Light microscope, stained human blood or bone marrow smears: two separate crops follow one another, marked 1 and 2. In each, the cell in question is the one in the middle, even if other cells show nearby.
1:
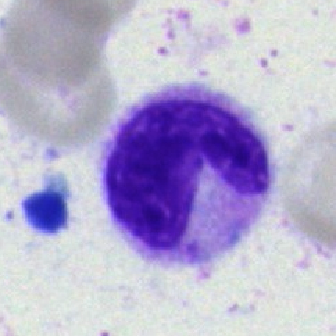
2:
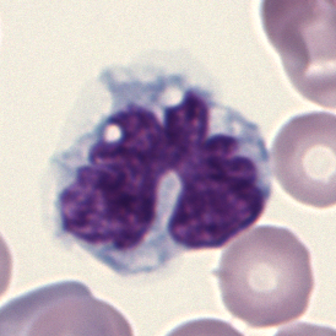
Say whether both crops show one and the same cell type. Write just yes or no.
no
